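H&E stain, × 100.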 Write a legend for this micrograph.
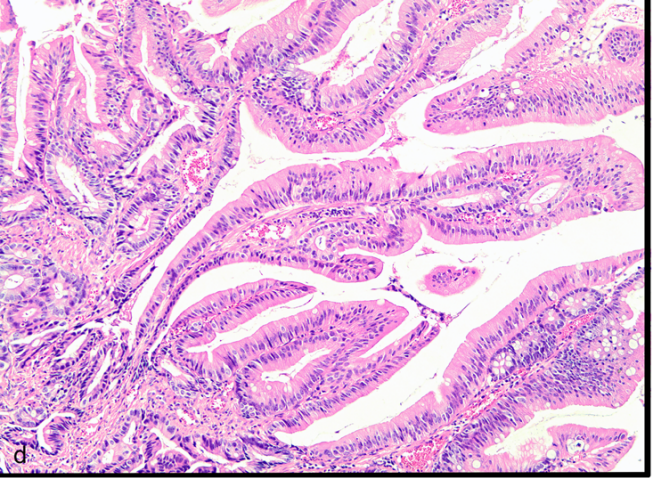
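This is a serrated glandular lesion of the large-bowel mucosa built of branching villiform fronds and glands lined by tall columnar epithelial cells. The cells have abundant, conspicuous bright pink cytoplasm, and mucin is largely lost, with only scattered goblet cells left. Their nuclei are slender, elongated and dark, pencil-like, lined up along the base of the epithelium. Thin cores of stroma with small blood vessels containing red cells run through the fronds.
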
